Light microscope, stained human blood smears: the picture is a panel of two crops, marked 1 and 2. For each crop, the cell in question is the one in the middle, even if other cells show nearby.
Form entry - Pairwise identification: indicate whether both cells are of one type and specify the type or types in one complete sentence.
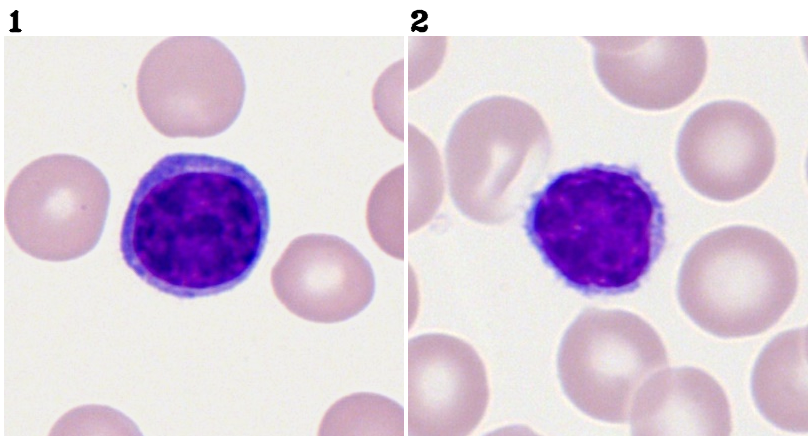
Yes, both crops in the pair show lymphocytes.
